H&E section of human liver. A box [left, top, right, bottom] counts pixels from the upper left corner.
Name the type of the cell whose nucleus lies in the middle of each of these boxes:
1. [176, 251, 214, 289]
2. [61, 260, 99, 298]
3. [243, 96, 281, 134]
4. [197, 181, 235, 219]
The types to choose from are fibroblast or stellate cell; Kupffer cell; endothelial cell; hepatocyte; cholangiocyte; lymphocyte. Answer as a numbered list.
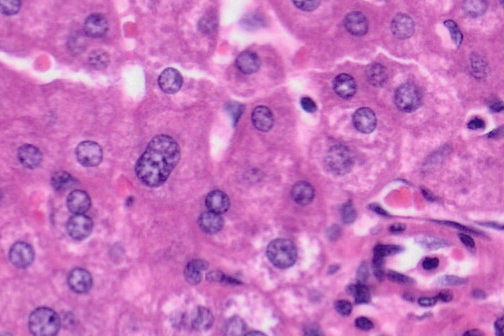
1. fibroblast or stellate cell
2. hepatocyte
3. hepatocyte
4. hepatocyte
